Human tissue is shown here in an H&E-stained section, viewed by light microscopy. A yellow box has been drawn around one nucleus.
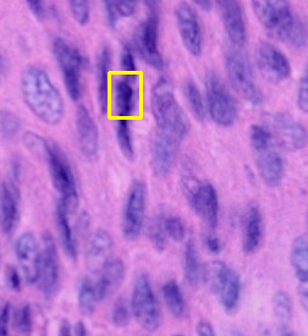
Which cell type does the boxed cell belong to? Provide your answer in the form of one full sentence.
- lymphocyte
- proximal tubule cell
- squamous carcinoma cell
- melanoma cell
As a matter of cell type, the boxed cell is a squamous carcinoma cell.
